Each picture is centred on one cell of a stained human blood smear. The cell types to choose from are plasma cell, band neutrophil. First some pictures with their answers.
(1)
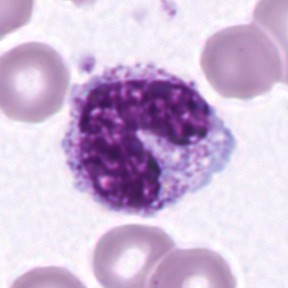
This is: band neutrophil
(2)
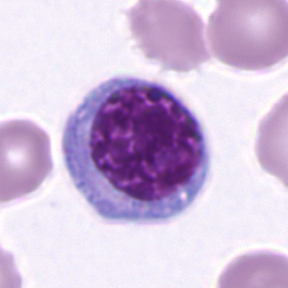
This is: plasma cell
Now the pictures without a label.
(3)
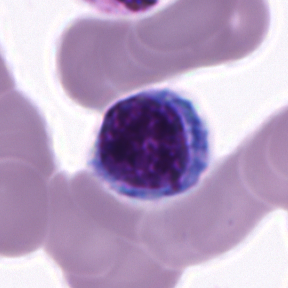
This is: plasma cell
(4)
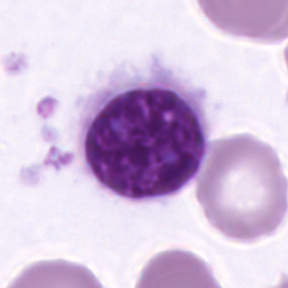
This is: plasma cell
